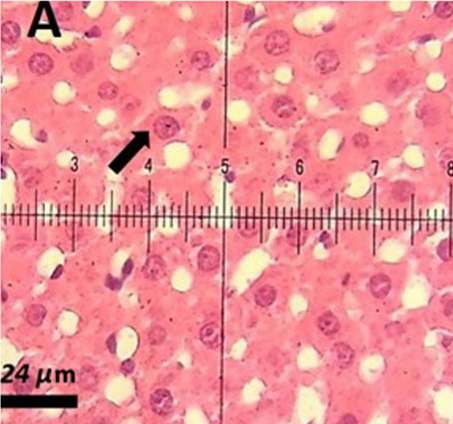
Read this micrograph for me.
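This is liver tissue, made up almost entirely of hepatocytes, the large polygonal cells filling the field. Their cytoplasm stains an even pink, and each cell holds a round nucleus, stained purple, usually placed near the middle of the cell. Within the nuclei you can often pick out a small dark nucleolus. The cells press closely against one another. Small rounded or slit-like clear spaces lie between them. A few small, darker, flattened nuclei sit along the edges of these spaces, and they belong to cells other than hepatocytes.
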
